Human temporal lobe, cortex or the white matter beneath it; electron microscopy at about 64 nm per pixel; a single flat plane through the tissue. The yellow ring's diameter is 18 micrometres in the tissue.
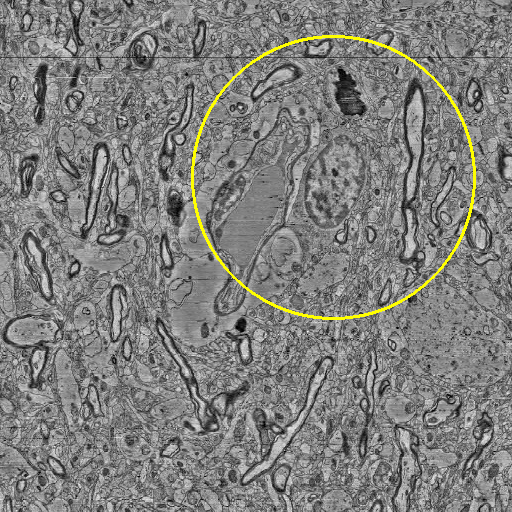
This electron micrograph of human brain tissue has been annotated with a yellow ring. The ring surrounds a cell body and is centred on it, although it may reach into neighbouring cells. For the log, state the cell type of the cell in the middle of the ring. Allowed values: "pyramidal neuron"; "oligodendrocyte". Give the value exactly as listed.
oligodendrocyte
